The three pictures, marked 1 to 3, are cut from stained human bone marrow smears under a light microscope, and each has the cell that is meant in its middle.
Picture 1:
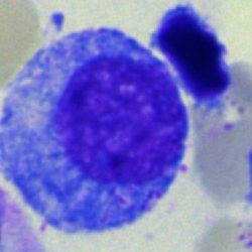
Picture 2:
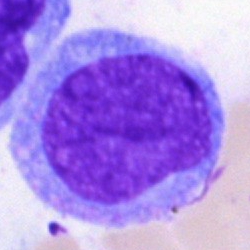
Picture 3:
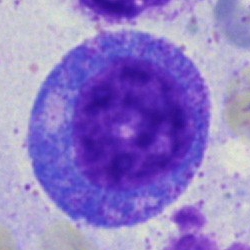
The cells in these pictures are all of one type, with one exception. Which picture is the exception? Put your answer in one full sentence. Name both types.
Picture 2 is the odd one out: it shows a blast, while the others show promyelocytes.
